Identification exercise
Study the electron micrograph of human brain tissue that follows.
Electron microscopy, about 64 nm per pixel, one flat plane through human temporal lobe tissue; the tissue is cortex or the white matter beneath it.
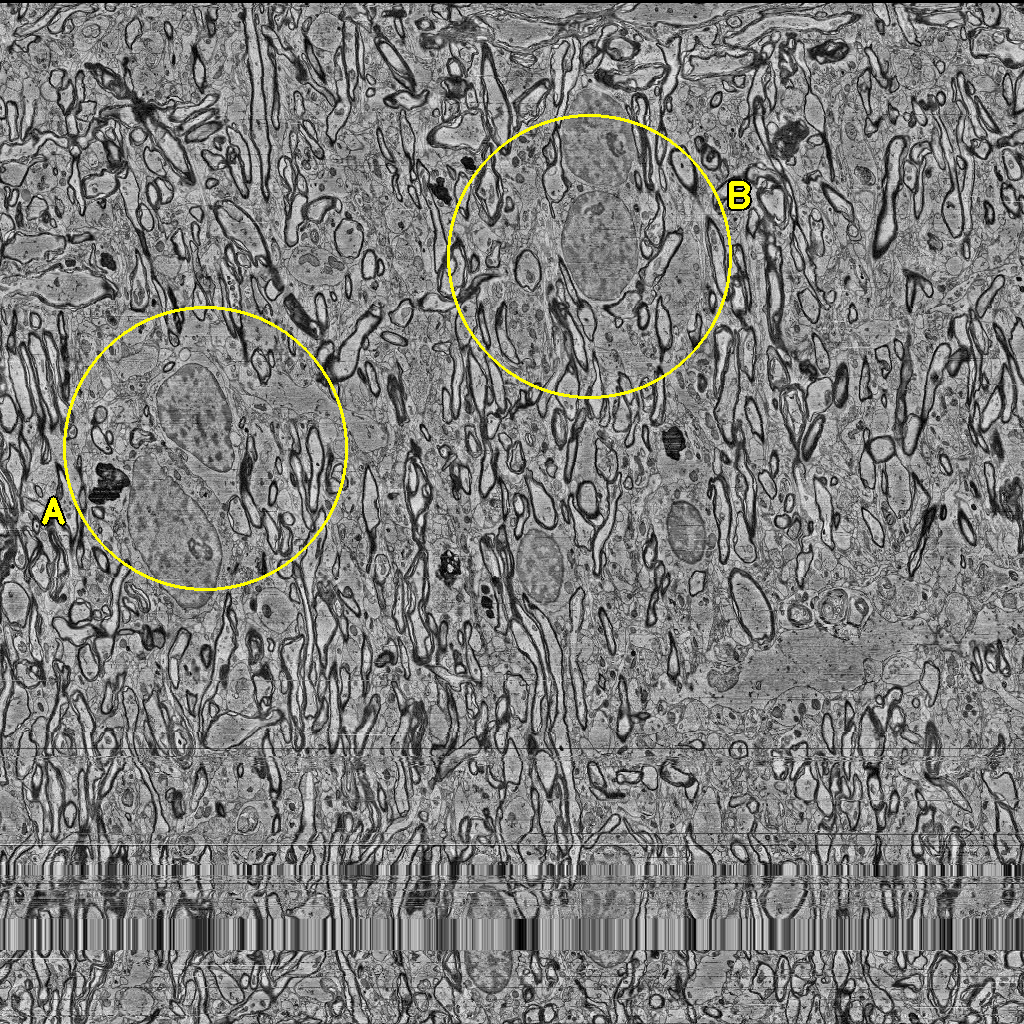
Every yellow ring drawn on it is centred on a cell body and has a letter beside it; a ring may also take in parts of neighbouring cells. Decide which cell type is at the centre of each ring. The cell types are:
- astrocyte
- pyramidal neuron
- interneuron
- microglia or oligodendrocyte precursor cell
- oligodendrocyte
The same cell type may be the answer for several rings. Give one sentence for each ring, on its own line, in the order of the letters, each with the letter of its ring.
Ring A encircles a microglial cell or oligodendrocyte precursor cell.
Ring B encircles an oligodendrocyte.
